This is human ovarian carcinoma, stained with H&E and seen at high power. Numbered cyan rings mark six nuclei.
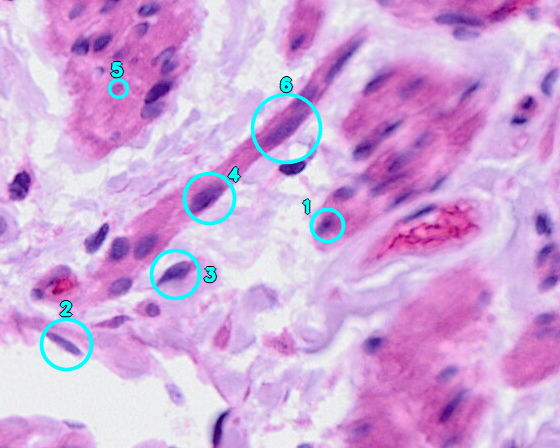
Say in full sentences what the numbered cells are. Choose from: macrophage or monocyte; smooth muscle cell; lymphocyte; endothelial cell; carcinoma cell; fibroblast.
Cell 1 is a smooth muscle cell, cell 2 is an endothelial cell, cell 3 is a fibroblast, cell 4 is a smooth muscle cell, cell 5 is a smooth muscle cell and cell 6 is a smooth muscle cell.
